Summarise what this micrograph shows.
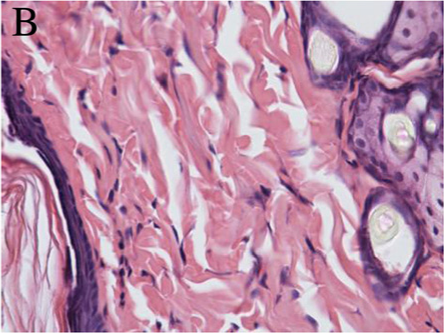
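Skin is seen with a thin purple epidermis along the left edge, topped by flaky keratin. The dermis fills the middle with wavy pink collagen bundles separated by narrow clefts, and spindle-shaped dark nuclei of fibroblasts lie between them. On the right are several round profiles, each with a pale glassy central shaft surrounded by rings of epithelial cells with purple nuclei, set in a larger purple epithelial mass. These are hair follicles cut across, lying in an intact dermis beneath an intact epidermis, an overall normal skin architecture.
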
